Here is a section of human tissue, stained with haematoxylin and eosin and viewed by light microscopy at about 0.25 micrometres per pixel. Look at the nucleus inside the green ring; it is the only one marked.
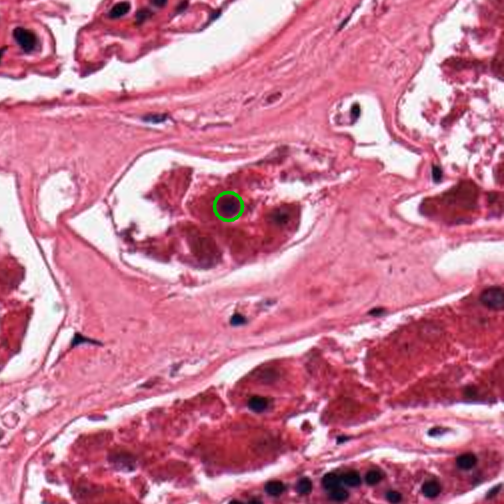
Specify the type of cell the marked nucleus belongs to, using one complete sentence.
The marked nucleus, in this picture, belongs to a proximal tubule cell.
